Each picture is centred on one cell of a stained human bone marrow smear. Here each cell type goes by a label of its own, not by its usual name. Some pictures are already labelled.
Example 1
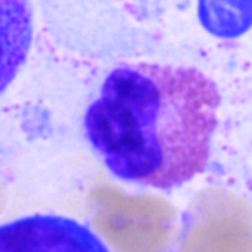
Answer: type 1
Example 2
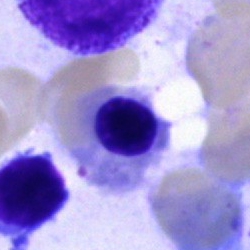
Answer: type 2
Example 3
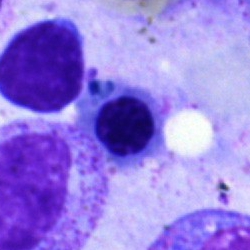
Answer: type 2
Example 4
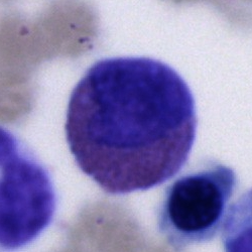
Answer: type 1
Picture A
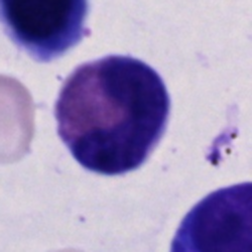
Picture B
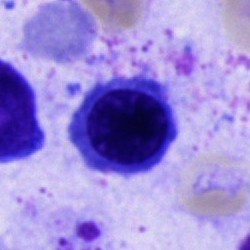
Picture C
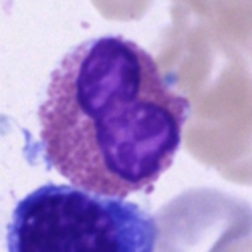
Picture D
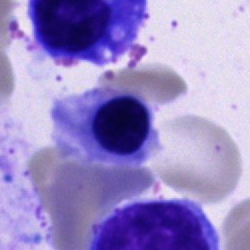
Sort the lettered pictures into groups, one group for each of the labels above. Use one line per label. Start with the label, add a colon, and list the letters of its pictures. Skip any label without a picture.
type 1: A, C
type 2: B, D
